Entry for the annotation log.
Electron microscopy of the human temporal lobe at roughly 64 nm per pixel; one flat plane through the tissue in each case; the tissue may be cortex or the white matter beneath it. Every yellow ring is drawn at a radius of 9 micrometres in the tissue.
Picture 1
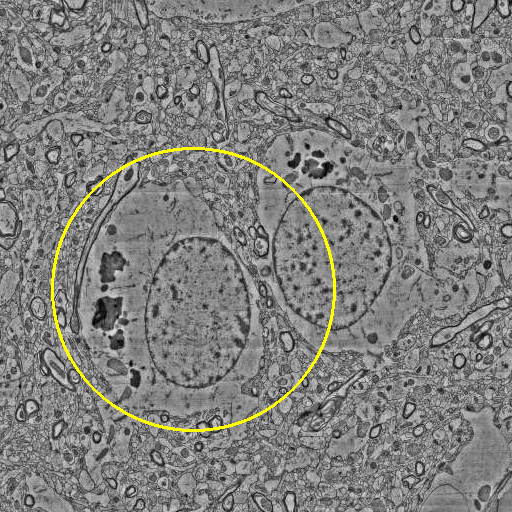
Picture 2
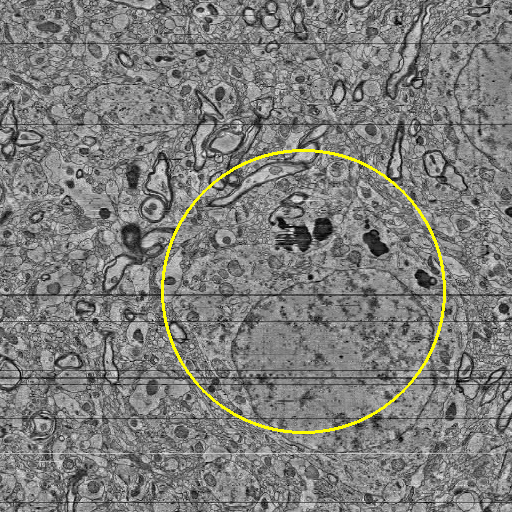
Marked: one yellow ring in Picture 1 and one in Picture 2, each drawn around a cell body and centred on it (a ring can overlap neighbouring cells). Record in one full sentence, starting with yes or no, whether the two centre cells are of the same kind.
No, the two cells are of two kinds.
